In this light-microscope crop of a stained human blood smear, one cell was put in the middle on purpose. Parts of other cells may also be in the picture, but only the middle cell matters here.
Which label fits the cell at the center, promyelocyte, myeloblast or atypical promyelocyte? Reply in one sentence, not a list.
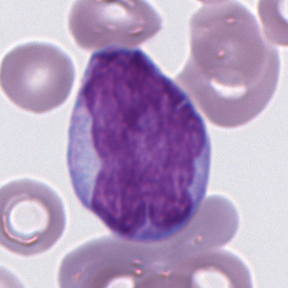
Seen at the centre of the crop is an atypical promyelocyte.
